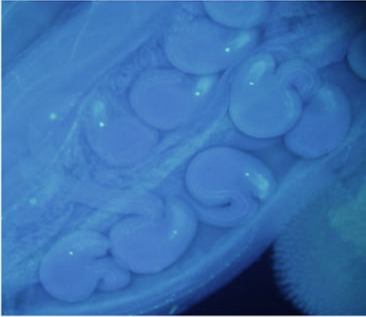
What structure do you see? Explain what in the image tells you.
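Curved, kidney-shaped bodies lie in rows inside an elongated pod. Small bright dots sit at one end of several of them.
Ovule.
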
